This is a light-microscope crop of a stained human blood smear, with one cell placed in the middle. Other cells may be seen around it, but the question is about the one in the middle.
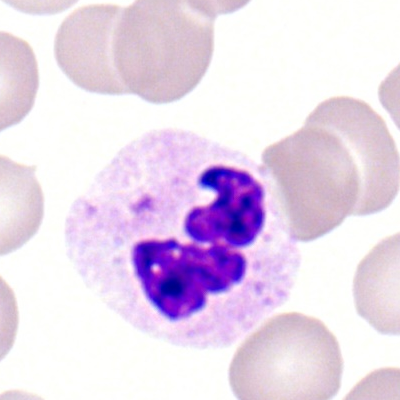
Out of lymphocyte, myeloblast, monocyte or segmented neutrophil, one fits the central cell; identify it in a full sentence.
Whatever else lies nearby, the middle cell is a segmented neutrophil.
